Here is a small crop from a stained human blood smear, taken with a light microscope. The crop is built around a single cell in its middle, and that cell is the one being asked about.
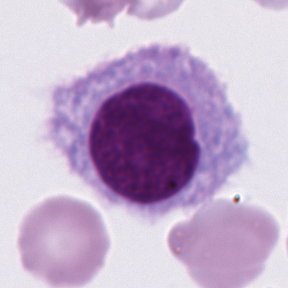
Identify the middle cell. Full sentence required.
Here the cell in the middle is a hairy cell.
